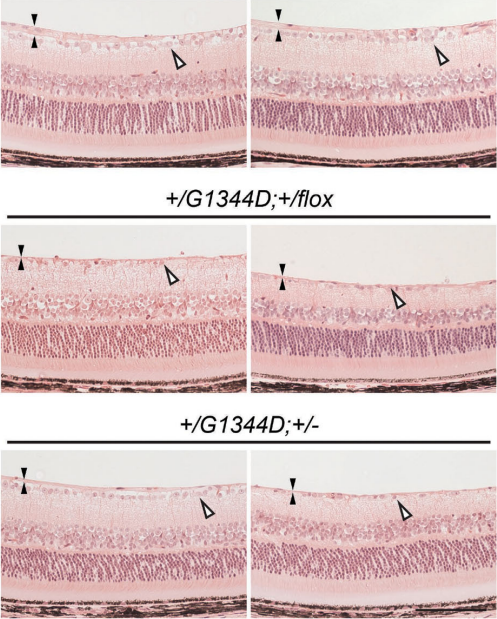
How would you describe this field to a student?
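These are sections through the retina with its layers stacked horizontally, the inner surface at the top and the pigmented back of the eye at the bottom. At the very top a thin pink fibrous band is bracketed by pairs of black arrowheads, and just beneath it lies a single loose row of rounded cell bodies, the retinal ganglion cells, marked by open arrowheads. Below them a broad pale pink layer without many nuclei separates the ganglion cells from a band of several rows of round nuclei. Further down sits a thick band of densely packed dark purple nuclei arranged in columns, followed by a pale pink striated band and a thin dark pigmented line at the bottom edge. The thickness of the top fibrous band and the continuity of the ganglion cell row can be compared across the six sections.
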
